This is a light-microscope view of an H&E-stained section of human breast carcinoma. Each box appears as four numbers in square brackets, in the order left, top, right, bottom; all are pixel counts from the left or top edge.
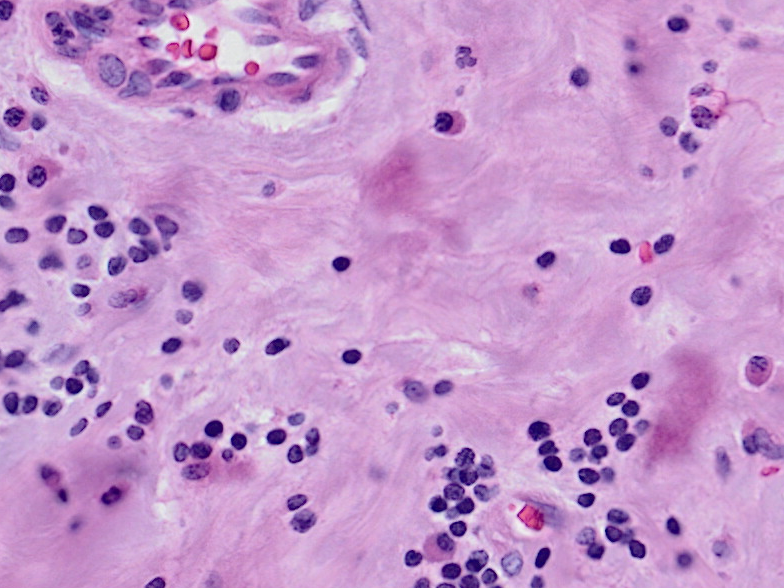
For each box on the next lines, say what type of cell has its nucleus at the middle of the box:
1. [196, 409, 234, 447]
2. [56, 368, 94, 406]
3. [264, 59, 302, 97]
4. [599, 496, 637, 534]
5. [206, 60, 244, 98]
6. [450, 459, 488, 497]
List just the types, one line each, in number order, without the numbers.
lymphocyte
lymphocyte
endothelial cell
lymphocyte
endothelial cell
lymphocyte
